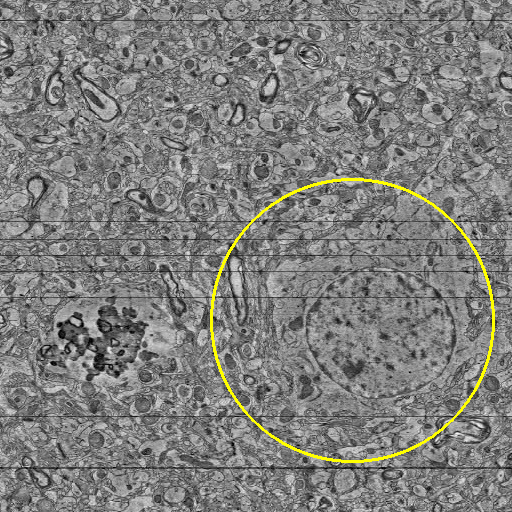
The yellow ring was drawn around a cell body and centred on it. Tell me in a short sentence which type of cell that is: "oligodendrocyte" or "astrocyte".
The cell at the ring's centre is an astrocyte.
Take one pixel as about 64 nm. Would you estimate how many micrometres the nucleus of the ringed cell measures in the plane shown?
The nucleus appears about 9 micrometres across in this plane.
